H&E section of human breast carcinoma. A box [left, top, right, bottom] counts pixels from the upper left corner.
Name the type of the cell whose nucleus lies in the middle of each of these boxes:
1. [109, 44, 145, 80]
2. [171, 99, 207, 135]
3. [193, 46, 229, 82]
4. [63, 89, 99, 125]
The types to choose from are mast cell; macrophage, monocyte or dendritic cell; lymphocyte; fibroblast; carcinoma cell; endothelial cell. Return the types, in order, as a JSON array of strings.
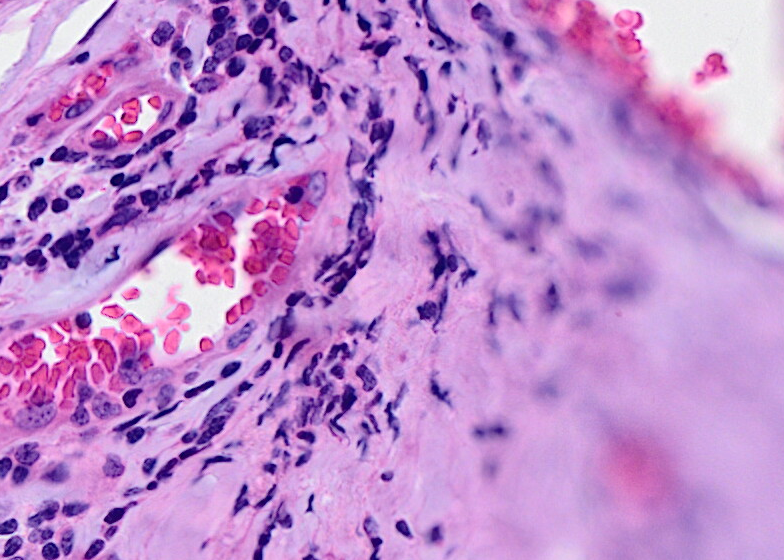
["endothelial cell", "lymphocyte", "lymphocyte", "endothelial cell"]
